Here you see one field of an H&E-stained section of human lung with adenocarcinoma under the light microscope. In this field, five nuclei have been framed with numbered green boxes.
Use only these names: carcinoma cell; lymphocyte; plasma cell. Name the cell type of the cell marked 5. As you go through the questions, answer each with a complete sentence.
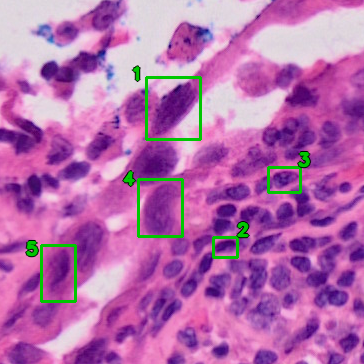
Cell 5, as marked in the section, is a carcinoma cell.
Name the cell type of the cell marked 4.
Identified by the number 4, the cell is a carcinoma cell.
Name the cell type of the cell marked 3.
The numeral 3 marks a lymphocyte in this section.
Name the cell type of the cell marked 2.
The cell tagged with 2 in this tissue section is a lymphocyte.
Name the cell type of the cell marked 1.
To a carcinoma cell belongs the nucleus marked 1.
